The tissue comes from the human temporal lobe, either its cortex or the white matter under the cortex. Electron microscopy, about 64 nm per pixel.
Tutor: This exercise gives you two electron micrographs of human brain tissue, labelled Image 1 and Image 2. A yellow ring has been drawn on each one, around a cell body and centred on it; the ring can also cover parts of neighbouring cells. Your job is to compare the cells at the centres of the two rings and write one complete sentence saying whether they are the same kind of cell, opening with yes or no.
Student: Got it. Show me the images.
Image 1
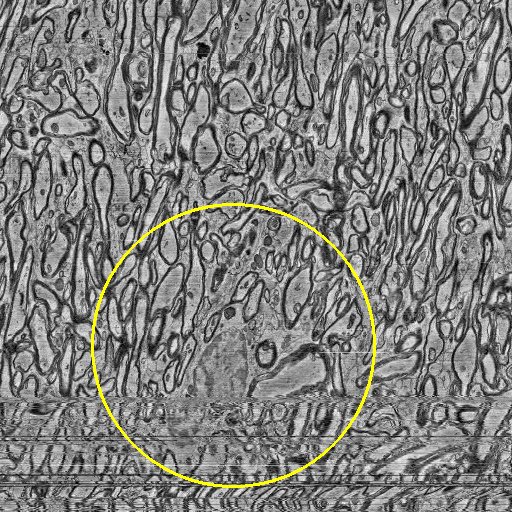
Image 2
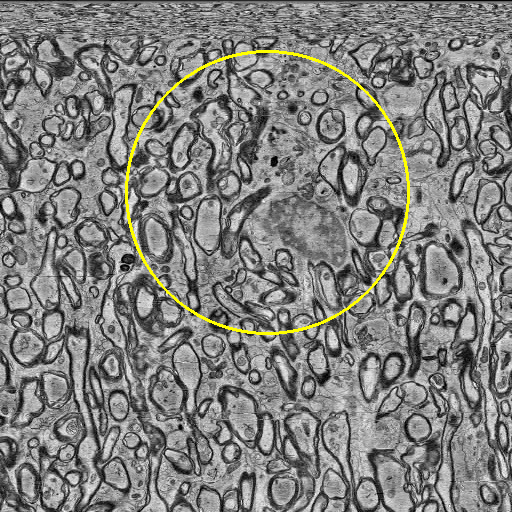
Yes, the two cells belong to the same kind.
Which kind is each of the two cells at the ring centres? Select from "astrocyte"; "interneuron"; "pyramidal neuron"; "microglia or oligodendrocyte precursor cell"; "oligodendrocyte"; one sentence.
In both pictures the ring is centred on an oligodendrocyte.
